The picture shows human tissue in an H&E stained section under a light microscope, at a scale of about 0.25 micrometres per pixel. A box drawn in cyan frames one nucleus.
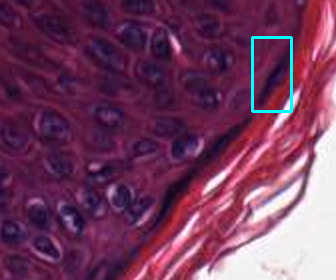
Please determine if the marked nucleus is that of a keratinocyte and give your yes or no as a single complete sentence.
Yes, the marked nucleus is in a keratinocyte.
